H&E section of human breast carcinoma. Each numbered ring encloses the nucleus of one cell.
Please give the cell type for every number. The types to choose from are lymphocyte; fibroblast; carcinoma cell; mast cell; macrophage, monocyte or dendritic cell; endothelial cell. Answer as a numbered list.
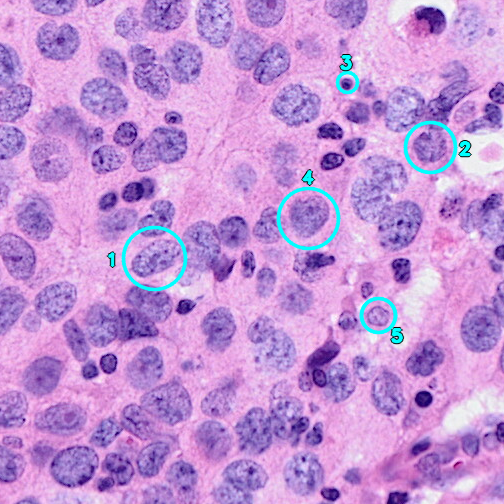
1. carcinoma cell
2. carcinoma cell
3. lymphocyte
4. carcinoma cell
5. macrophage, monocyte or dendritic cell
